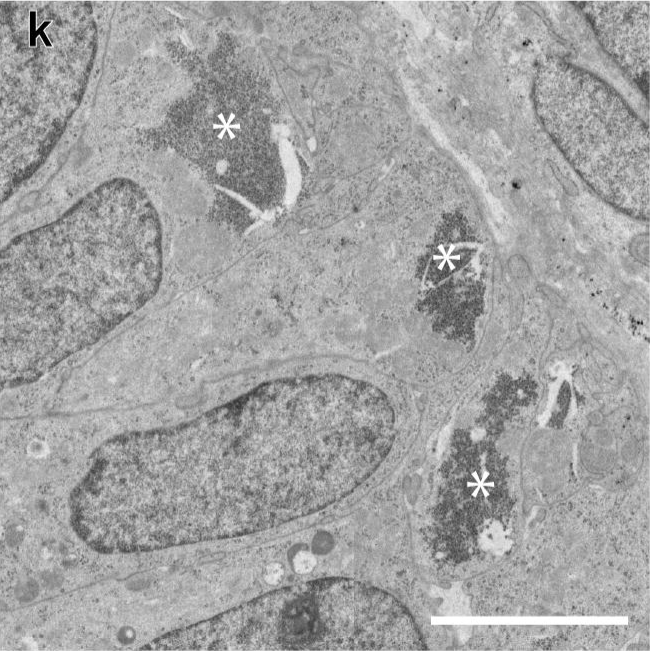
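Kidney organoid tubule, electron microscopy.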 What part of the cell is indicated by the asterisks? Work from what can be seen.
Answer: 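Irregular dark, finely granular masses lie in the cytoplasm. That points to this answer: glycogen.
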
